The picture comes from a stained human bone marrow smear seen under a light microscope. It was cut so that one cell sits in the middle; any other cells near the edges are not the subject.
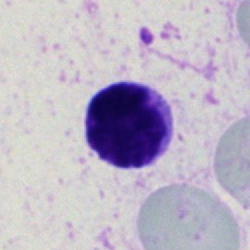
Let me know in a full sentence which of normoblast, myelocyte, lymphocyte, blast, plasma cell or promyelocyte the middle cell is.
Here the centrally located cell is a lymphocyte.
